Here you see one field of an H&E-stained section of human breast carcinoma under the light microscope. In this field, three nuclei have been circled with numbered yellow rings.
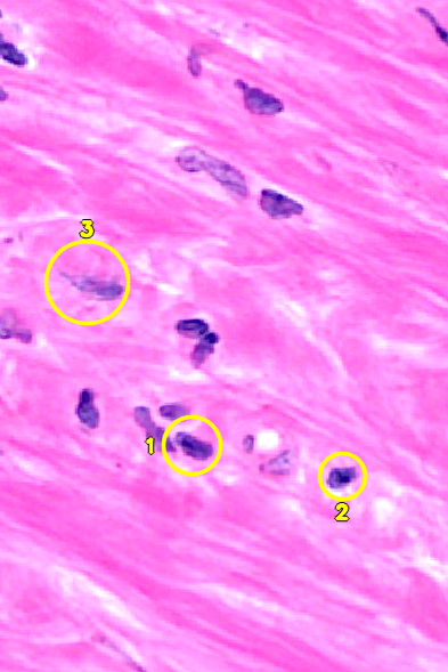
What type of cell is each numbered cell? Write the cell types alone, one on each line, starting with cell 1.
lymphocyte
lymphocyte
fibroblast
